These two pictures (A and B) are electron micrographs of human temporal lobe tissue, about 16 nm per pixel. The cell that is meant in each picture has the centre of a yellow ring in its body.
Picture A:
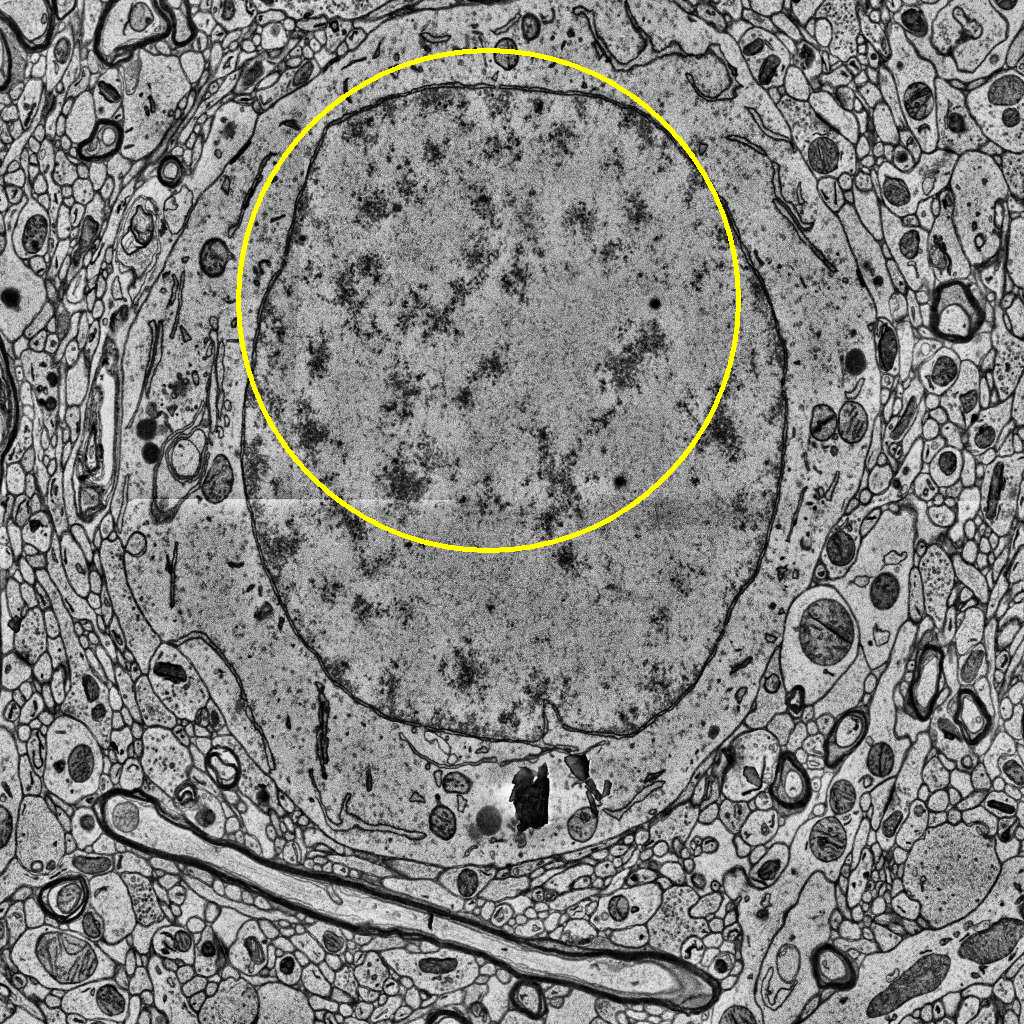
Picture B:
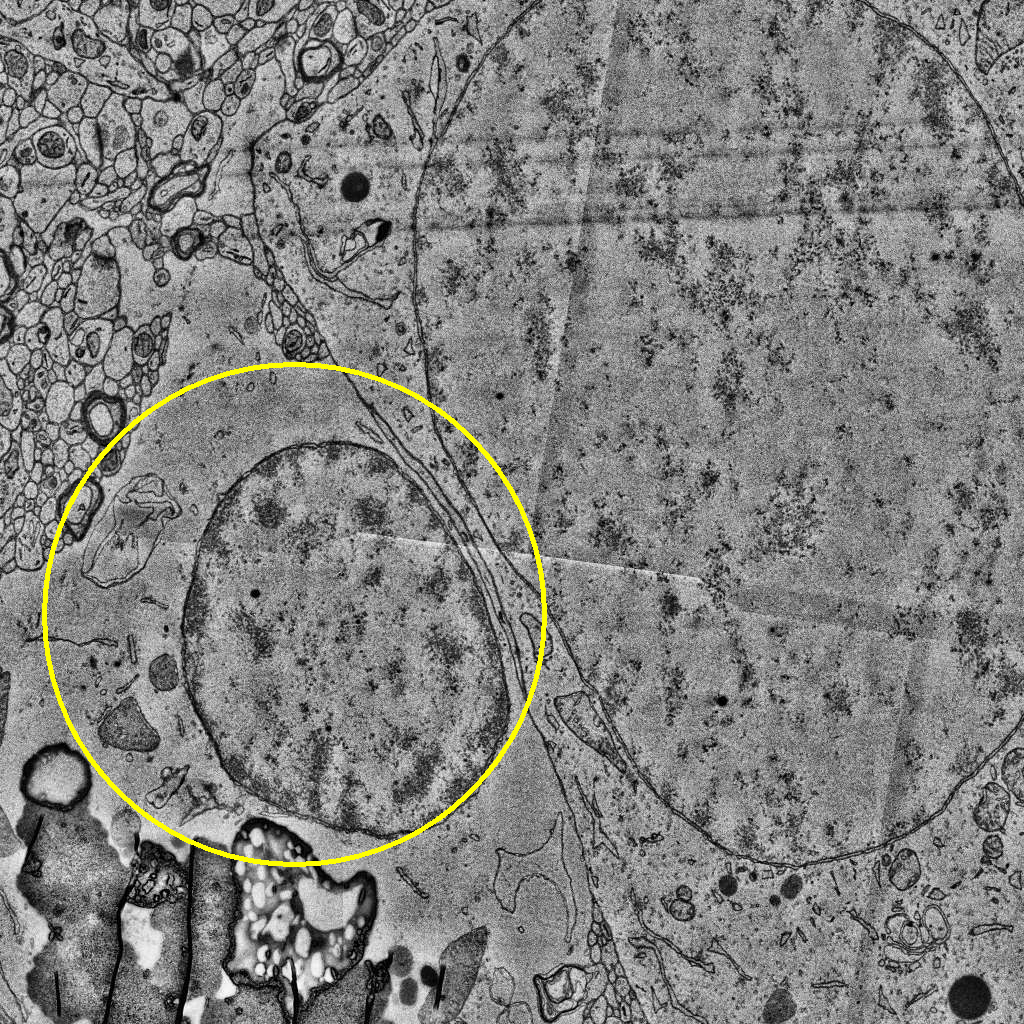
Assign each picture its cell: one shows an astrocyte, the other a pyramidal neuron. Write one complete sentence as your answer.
In picture A the cell is a pyramidal neuron; in picture B, an astrocyte.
